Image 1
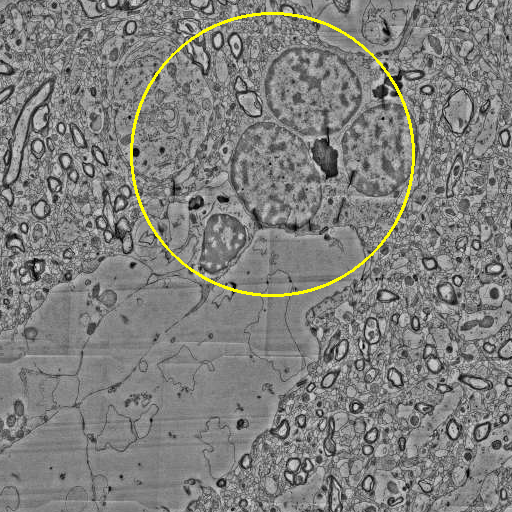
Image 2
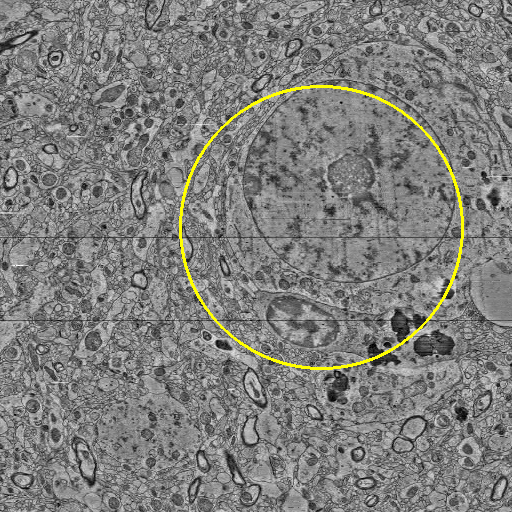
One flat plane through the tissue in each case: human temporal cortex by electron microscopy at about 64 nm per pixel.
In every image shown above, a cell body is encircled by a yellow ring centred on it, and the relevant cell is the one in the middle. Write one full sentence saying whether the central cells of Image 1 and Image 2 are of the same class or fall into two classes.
The cell at the ring's centre in Image 1 and its counterpart in Image 2 fall into two classes.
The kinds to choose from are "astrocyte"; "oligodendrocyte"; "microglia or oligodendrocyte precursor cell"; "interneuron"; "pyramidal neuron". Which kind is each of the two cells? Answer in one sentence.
Of the two, the first cell is an oligodendrocyte and the second cell is a pyramidal neuron.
